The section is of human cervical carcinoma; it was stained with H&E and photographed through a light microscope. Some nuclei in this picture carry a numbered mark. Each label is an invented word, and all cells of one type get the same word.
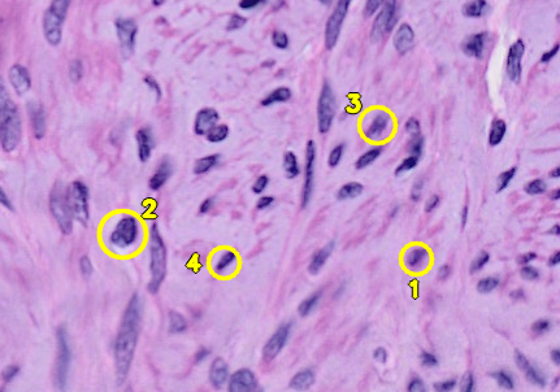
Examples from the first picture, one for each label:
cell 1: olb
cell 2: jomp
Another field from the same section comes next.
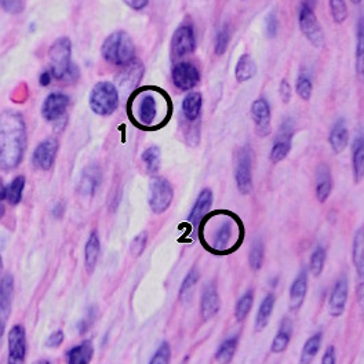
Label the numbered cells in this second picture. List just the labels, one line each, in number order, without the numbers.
jomp
olb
